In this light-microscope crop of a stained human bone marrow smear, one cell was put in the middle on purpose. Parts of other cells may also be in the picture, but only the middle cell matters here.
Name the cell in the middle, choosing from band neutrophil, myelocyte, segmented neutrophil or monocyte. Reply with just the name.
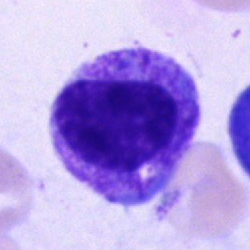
myelocyte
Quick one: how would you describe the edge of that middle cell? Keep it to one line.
Edge check done: smooth outline, no projections present.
